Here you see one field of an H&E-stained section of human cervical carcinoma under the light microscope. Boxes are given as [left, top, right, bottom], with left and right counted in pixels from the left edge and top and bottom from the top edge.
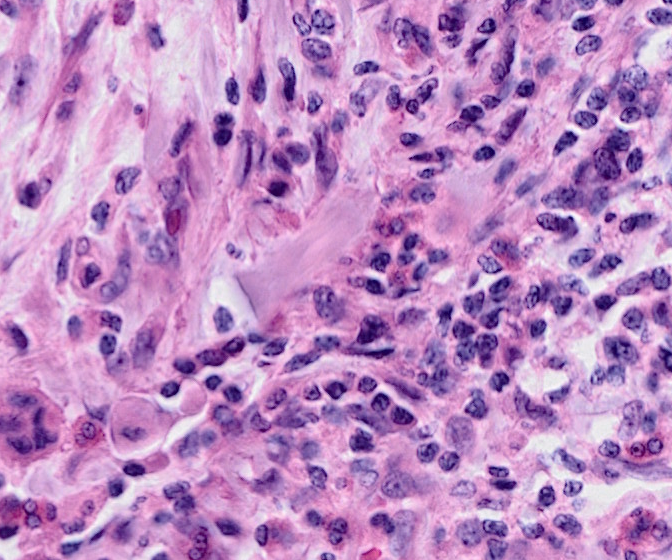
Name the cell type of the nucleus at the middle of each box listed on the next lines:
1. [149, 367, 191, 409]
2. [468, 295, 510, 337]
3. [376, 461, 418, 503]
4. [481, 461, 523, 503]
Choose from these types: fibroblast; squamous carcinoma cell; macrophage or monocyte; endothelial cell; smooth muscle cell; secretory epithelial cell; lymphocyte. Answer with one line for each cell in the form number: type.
1: lymphocyte
2: lymphocyte
3: endothelial cell
4: lymphocyte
